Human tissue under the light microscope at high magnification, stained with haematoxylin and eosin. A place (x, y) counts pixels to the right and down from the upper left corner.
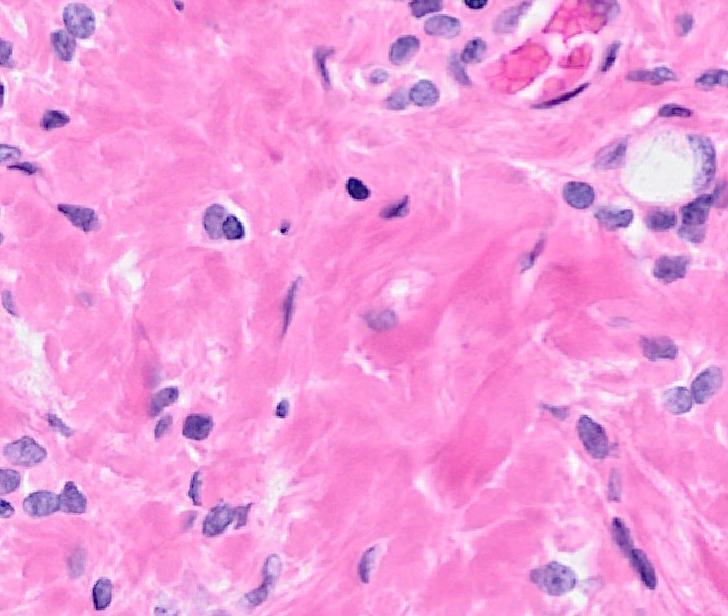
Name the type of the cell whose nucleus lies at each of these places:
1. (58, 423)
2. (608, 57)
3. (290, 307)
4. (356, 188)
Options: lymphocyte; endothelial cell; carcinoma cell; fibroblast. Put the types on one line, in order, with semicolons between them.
fibroblast; endothelial cell; fibroblast; lymphocyte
